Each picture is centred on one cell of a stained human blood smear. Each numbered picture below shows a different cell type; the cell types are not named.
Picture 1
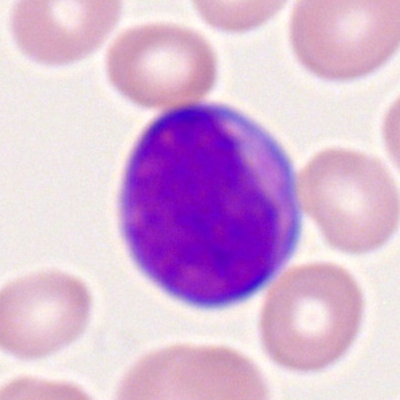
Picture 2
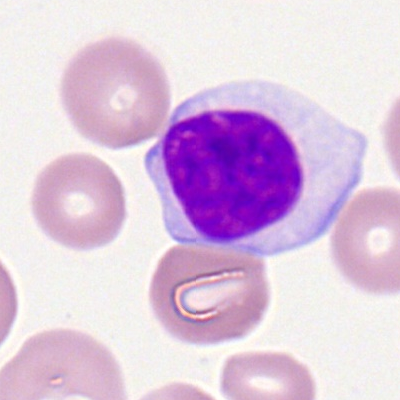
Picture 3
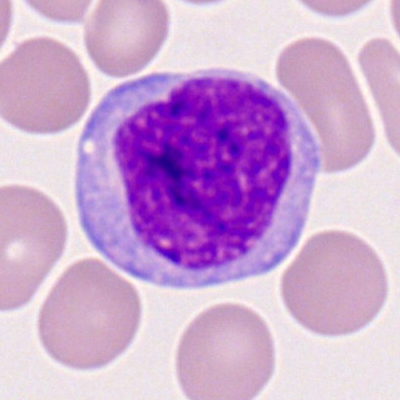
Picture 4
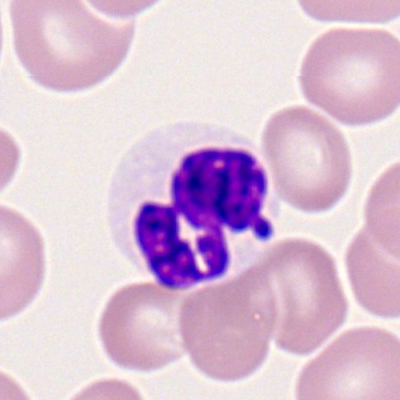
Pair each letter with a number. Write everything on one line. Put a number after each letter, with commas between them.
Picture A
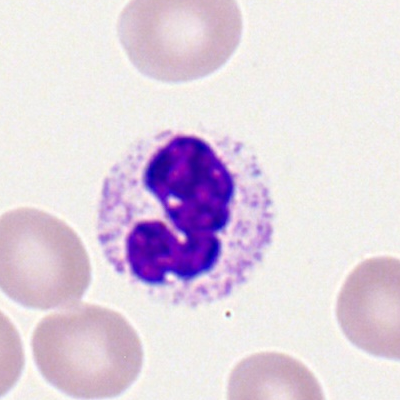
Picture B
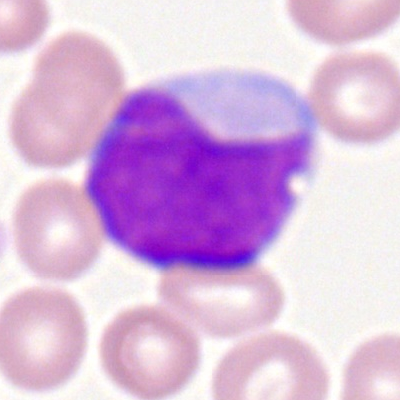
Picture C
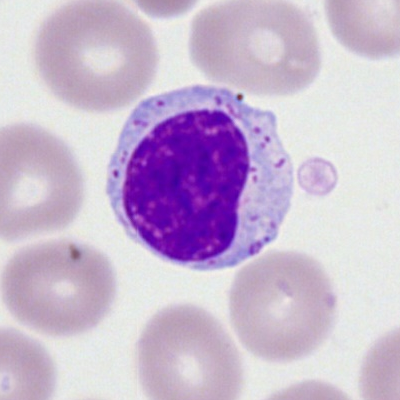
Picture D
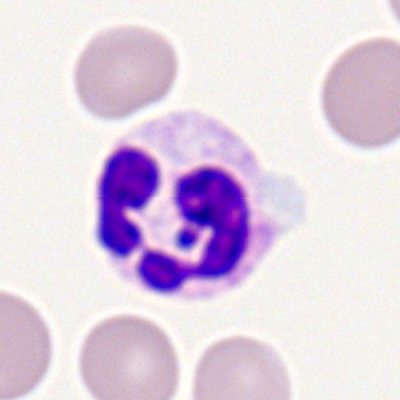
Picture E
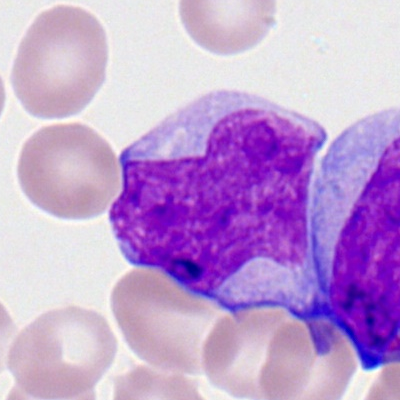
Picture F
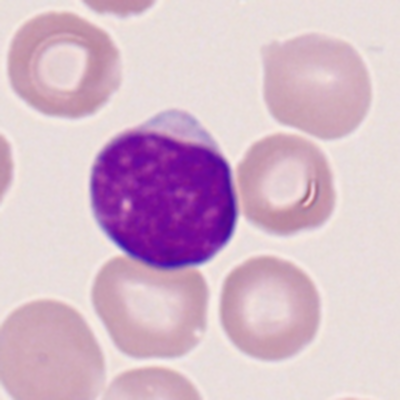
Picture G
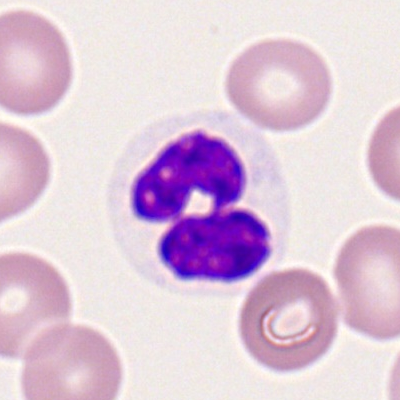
A 4, B 1, C 2, D 4, E 1, F 1, G 4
